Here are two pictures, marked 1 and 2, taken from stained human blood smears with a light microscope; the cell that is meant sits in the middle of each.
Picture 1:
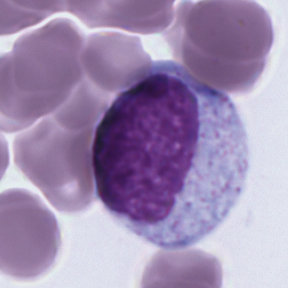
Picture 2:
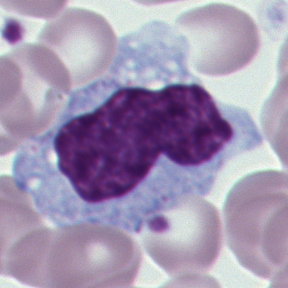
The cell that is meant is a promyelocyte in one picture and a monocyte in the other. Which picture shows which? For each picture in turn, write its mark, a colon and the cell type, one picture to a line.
1: promyelocyte
2: monocyte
